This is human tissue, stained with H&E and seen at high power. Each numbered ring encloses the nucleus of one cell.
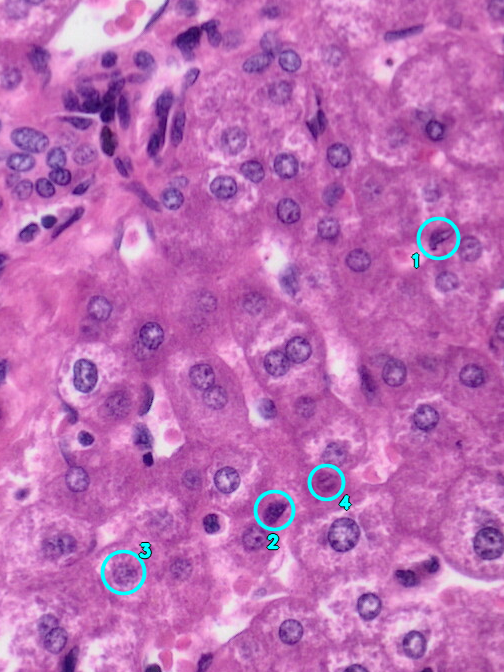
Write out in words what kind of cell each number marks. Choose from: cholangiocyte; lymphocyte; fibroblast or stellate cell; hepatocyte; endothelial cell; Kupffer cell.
Cell 1 is an endothelial cell. Cell 2 is a fibroblast or stellate cell. Cells 3 and 4 are hepatocytes.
